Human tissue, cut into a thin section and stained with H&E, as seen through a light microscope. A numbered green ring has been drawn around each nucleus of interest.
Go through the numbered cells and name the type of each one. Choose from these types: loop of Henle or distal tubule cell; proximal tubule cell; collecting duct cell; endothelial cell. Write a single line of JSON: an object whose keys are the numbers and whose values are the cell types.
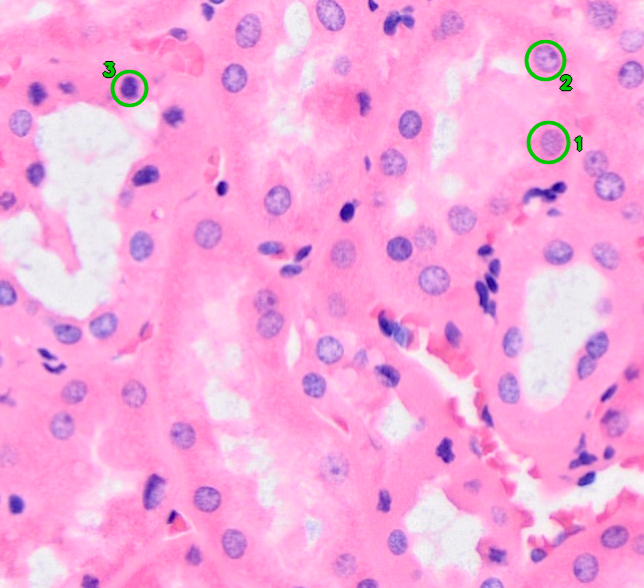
{"1": "proximal tubule cell", "2": "proximal tubule cell", "3": "loop of Henle or distal tubule cell"}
